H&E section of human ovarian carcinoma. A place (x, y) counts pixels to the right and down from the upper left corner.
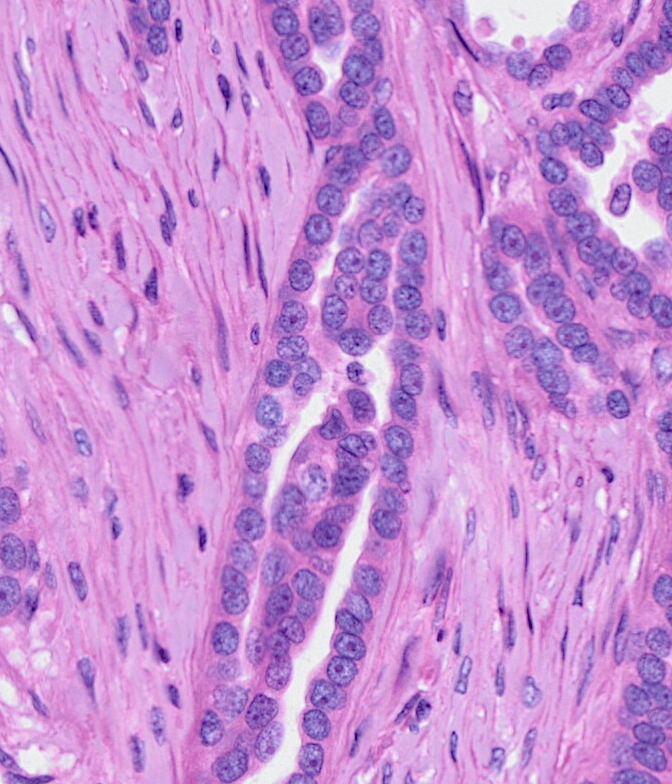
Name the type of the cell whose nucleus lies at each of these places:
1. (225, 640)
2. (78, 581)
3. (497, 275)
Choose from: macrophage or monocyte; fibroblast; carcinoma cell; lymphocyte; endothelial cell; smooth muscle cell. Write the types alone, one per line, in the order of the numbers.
carcinoma cell
fibroblast
carcinoma cell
